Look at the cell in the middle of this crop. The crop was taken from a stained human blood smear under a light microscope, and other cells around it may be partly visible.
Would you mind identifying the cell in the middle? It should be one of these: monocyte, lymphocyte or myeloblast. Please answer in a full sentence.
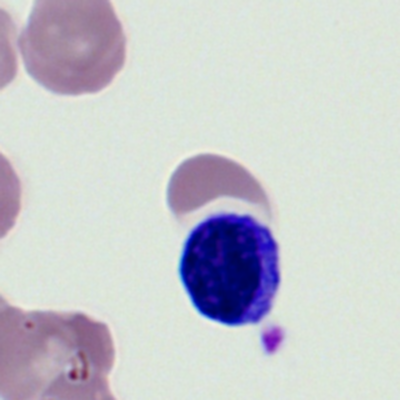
The middle cell in this particular crop is a lymphocyte.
